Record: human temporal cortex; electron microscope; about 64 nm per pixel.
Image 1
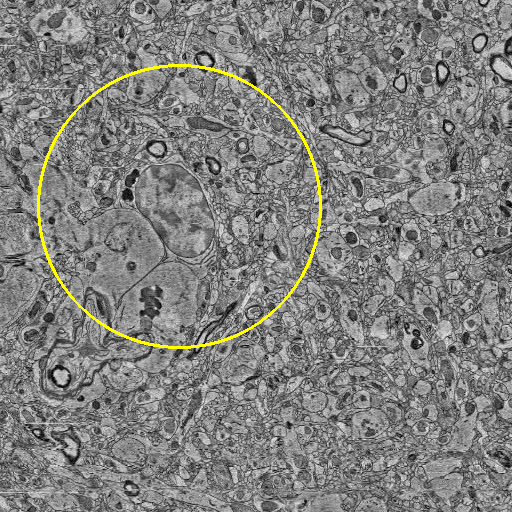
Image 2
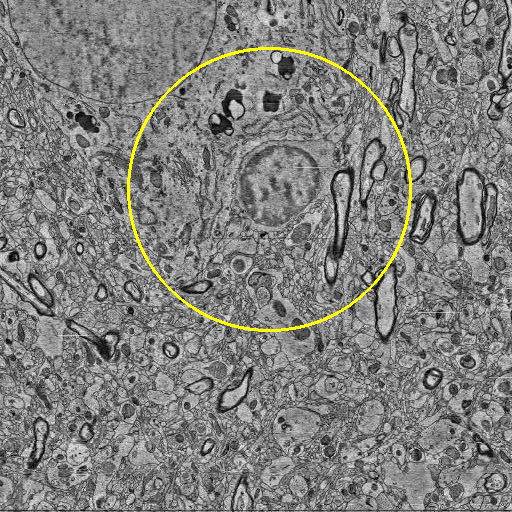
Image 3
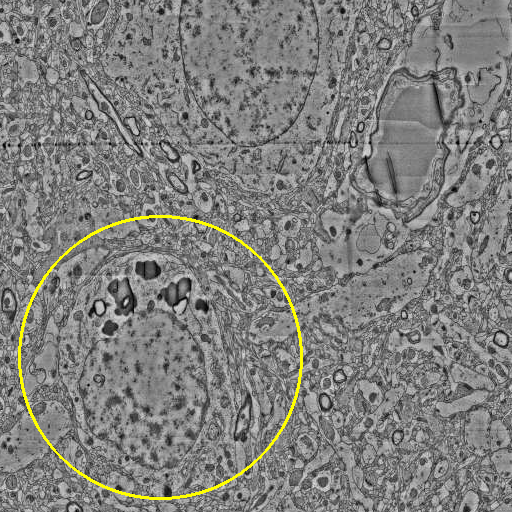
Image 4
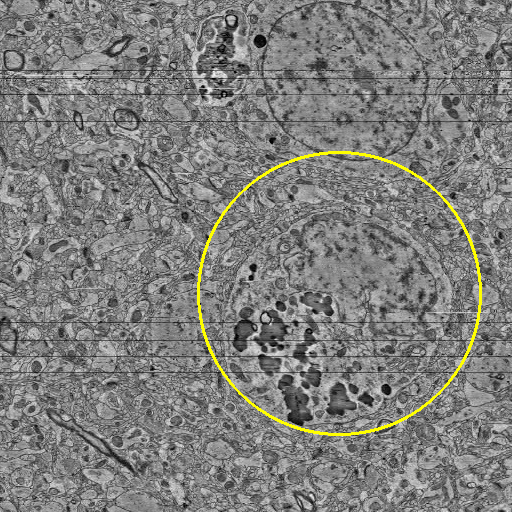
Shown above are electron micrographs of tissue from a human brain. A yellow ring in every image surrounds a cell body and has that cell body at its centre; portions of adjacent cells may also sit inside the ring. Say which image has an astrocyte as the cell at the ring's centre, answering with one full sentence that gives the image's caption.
The image whose ring is centred on the requested cell is Image 4.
